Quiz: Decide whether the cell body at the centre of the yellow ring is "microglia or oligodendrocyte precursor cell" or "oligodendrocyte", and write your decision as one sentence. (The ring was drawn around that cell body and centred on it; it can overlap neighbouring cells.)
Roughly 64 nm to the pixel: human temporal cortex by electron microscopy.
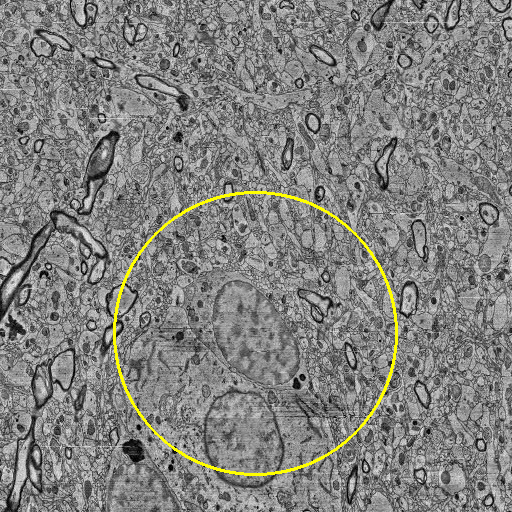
The cell the ring is centred on is an oligodendrocyte.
